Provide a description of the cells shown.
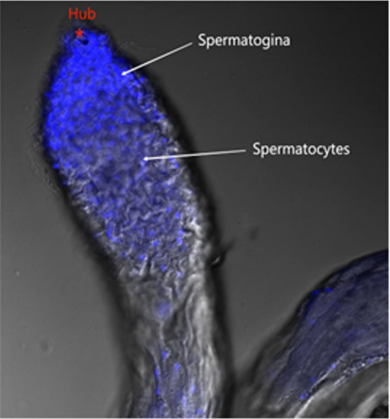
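Apical tip of a testis tube seen in transmitted light with a blue nuclear fluorescence overlay. The blue-filled region forms a broad club shape occupying most of the width of the tube and tapering toward the rest of the coil. A thin grey wall outlines the tube; a neighbouring tubular segment lies at the lower right.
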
